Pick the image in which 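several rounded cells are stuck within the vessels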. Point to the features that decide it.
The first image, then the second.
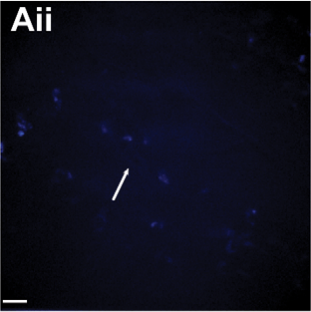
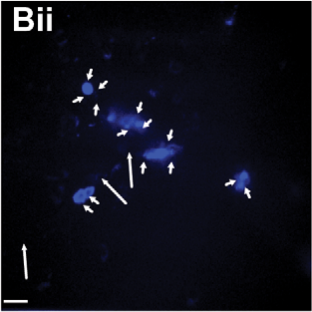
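Second image: several bright blue rounded and oval cells lie in clusters across the field. First image: only scattered faint blue specks, no clear cells.
Hence: the second image.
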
